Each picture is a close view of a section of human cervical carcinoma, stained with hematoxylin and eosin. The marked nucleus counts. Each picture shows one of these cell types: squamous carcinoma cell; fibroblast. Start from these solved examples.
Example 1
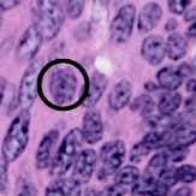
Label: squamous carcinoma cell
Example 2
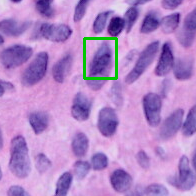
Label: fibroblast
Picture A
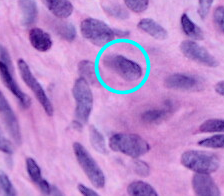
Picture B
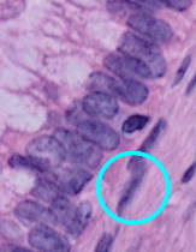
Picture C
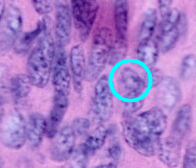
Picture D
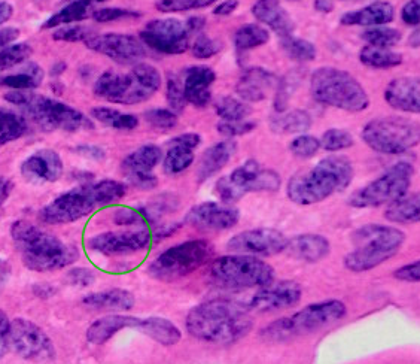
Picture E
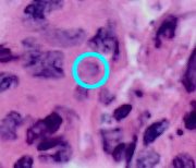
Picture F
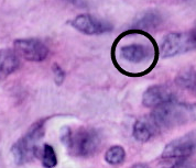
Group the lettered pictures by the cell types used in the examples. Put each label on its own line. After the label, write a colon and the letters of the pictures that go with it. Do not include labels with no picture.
squamous carcinoma cell: C, D, E
fibroblast: A, B, F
